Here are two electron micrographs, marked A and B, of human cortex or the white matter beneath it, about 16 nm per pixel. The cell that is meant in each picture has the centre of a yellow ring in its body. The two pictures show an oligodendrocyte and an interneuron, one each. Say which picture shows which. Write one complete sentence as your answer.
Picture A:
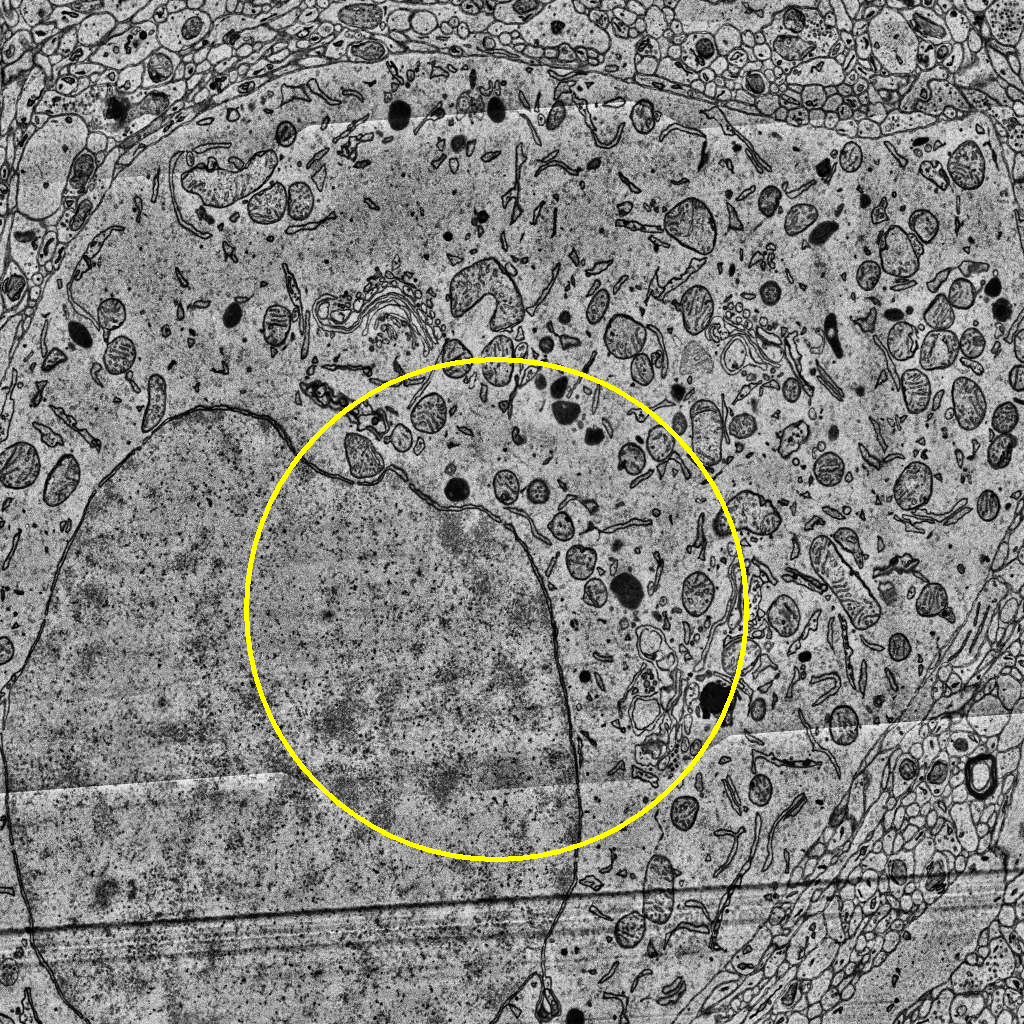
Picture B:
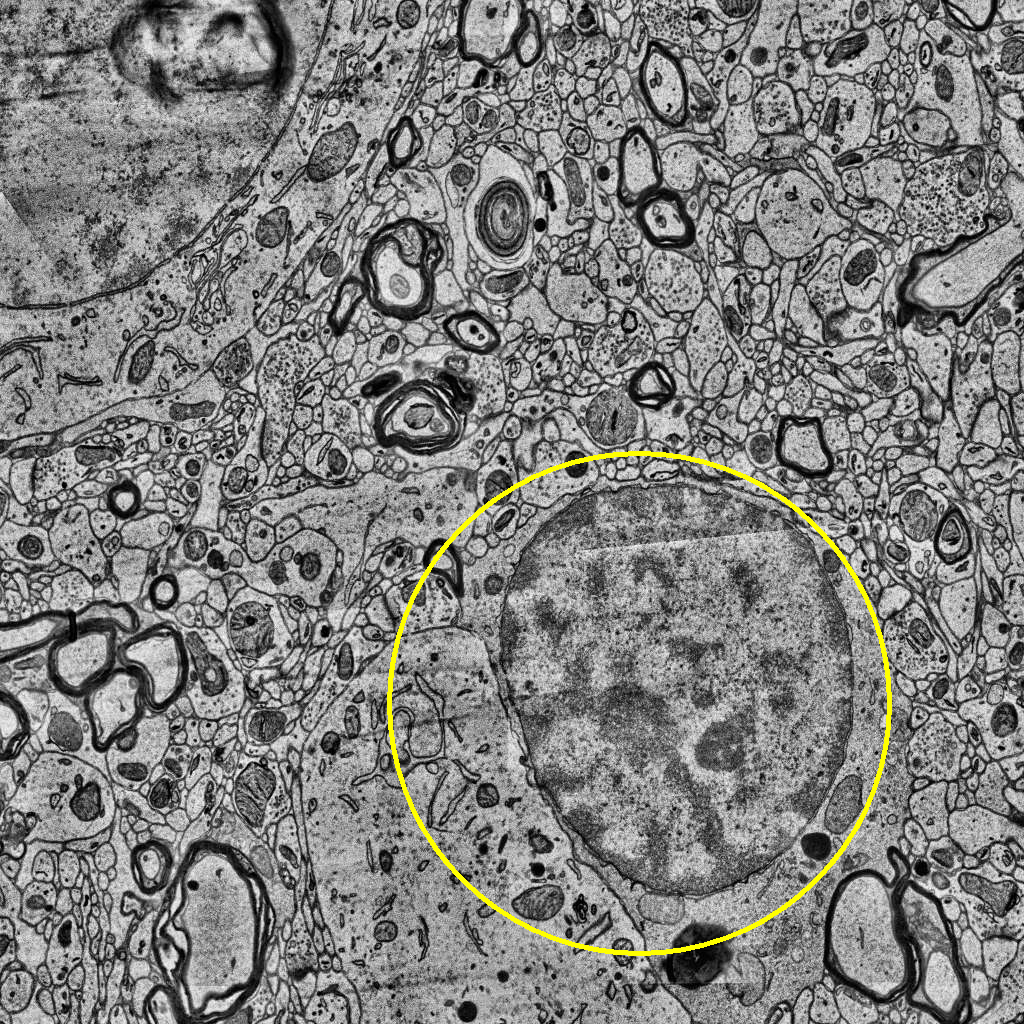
In picture A the cell is an interneuron; in picture B, an oligodendrocyte.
